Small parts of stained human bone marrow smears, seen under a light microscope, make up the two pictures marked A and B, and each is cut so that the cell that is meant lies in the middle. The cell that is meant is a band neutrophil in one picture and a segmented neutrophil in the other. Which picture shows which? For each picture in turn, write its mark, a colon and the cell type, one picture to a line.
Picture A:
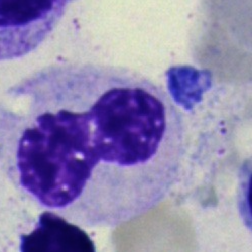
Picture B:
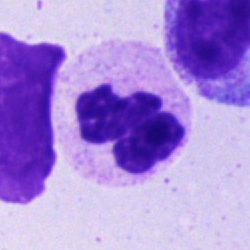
A: band neutrophil
B: segmented neutrophil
